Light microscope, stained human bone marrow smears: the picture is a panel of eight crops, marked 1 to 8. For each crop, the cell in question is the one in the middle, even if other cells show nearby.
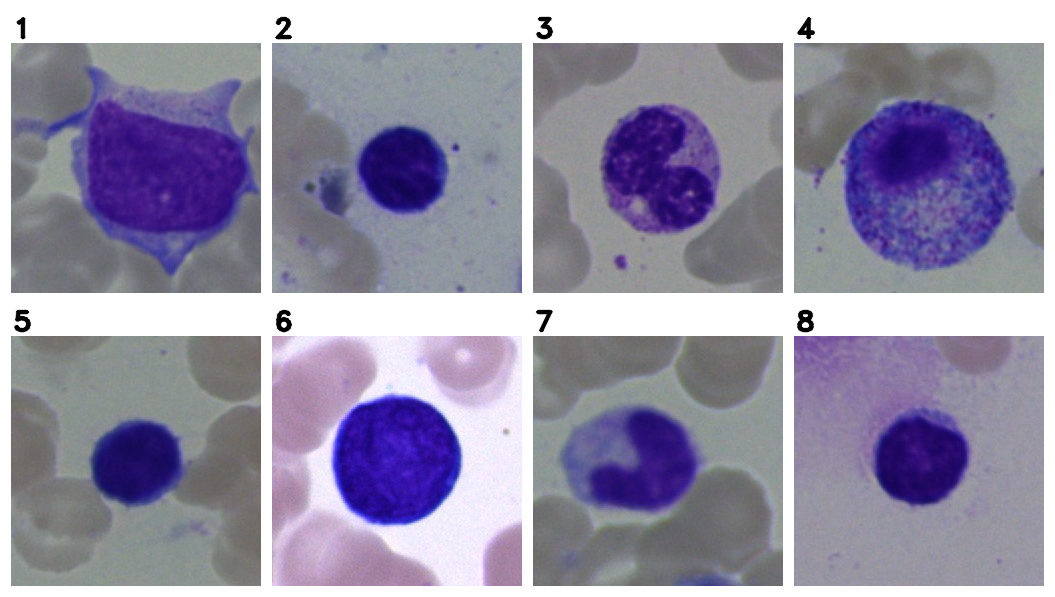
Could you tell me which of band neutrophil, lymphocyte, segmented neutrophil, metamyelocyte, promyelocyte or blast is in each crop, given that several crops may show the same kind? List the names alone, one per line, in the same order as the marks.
blast
lymphocyte
segmented neutrophil
promyelocyte
lymphocyte
blast
band neutrophil
lymphocyte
